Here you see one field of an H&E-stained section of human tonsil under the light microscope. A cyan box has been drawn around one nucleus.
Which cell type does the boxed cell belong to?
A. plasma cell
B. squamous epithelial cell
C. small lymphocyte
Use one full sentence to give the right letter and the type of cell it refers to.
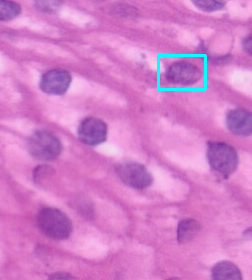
The correct option is B, as the boxed cell is a squamous epithelial cell.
